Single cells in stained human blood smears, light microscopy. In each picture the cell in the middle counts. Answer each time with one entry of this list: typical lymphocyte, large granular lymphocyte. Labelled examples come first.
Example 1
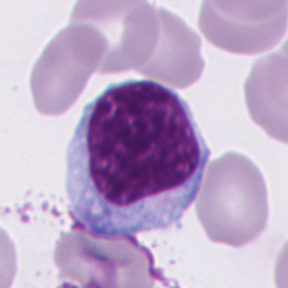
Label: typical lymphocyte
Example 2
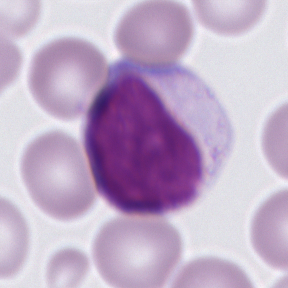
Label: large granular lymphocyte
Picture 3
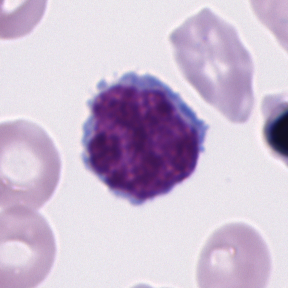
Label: typical lymphocyte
